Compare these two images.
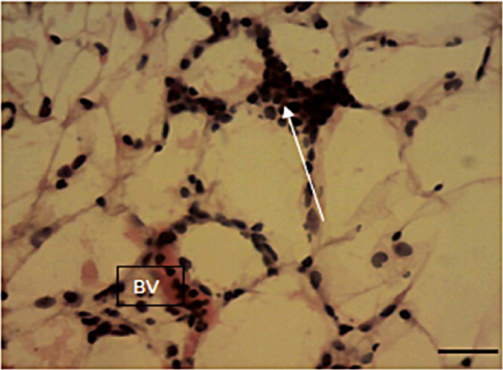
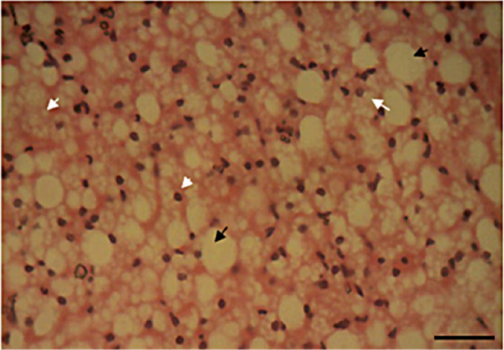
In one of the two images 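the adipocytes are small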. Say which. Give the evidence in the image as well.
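The second image. Second image: fat vacuoles are small and round, separated by much pink tissue. First image: fat cells are large polygonal clear spaces with thin walls.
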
